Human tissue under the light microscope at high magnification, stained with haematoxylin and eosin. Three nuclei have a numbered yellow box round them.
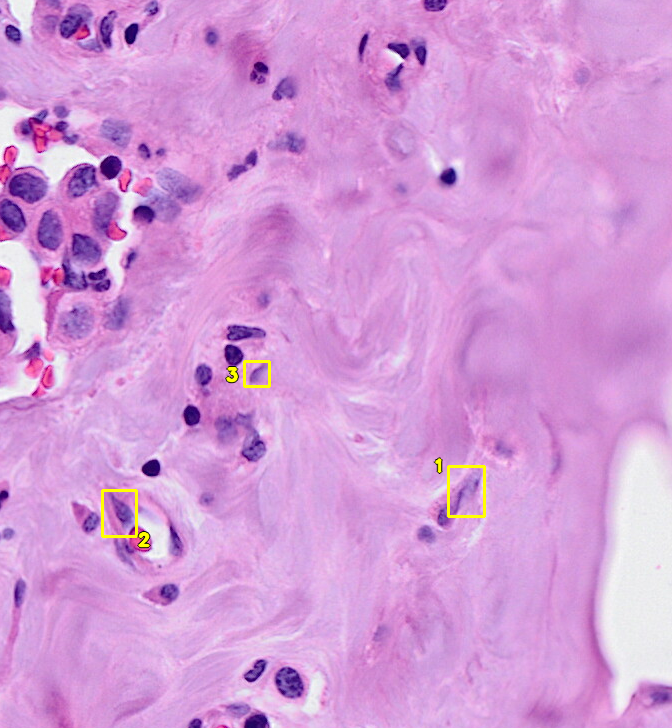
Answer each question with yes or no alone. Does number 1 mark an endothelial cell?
no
